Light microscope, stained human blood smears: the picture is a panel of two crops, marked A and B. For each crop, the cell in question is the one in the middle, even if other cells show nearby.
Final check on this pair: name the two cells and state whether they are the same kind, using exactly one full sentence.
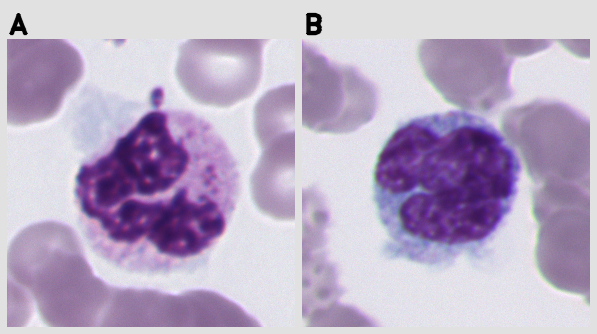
No, at the centre of crop A is a neutrophil, and at the centre of crop B is a monocyte.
